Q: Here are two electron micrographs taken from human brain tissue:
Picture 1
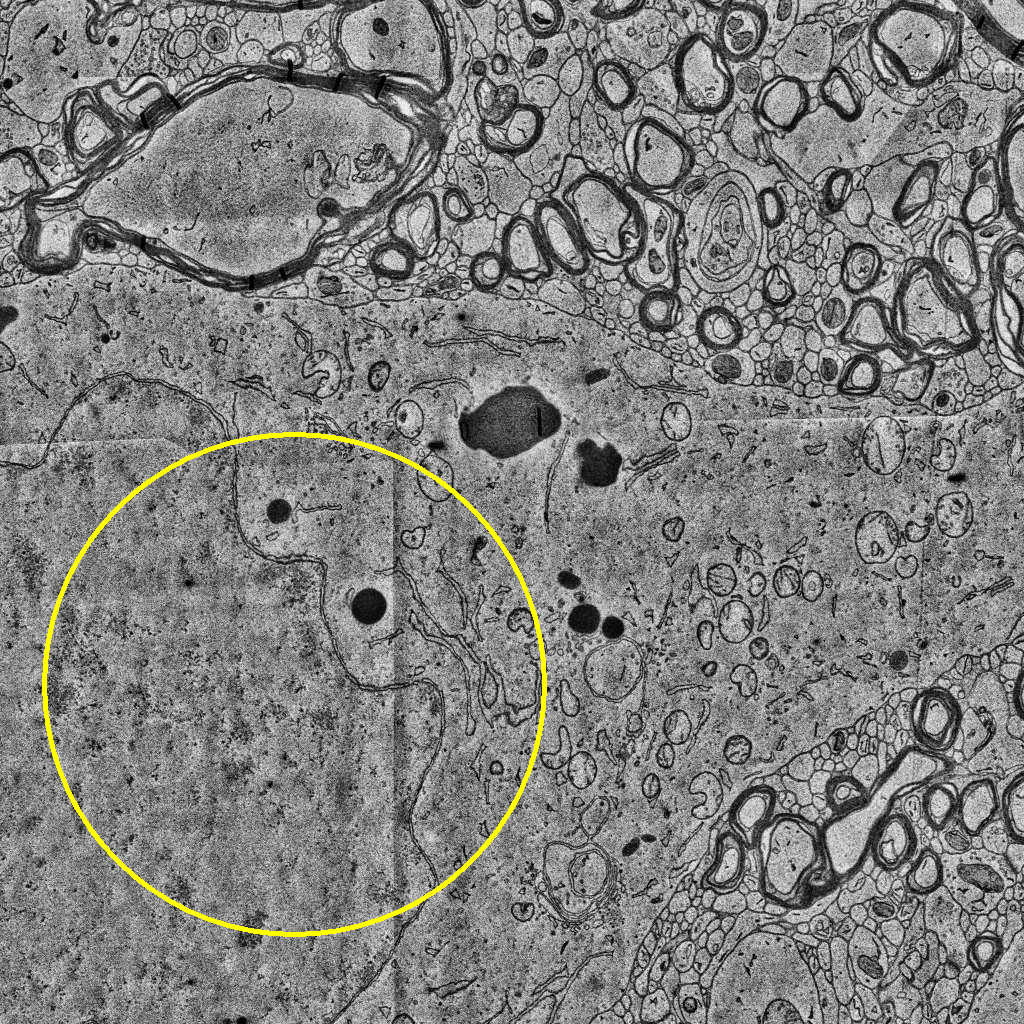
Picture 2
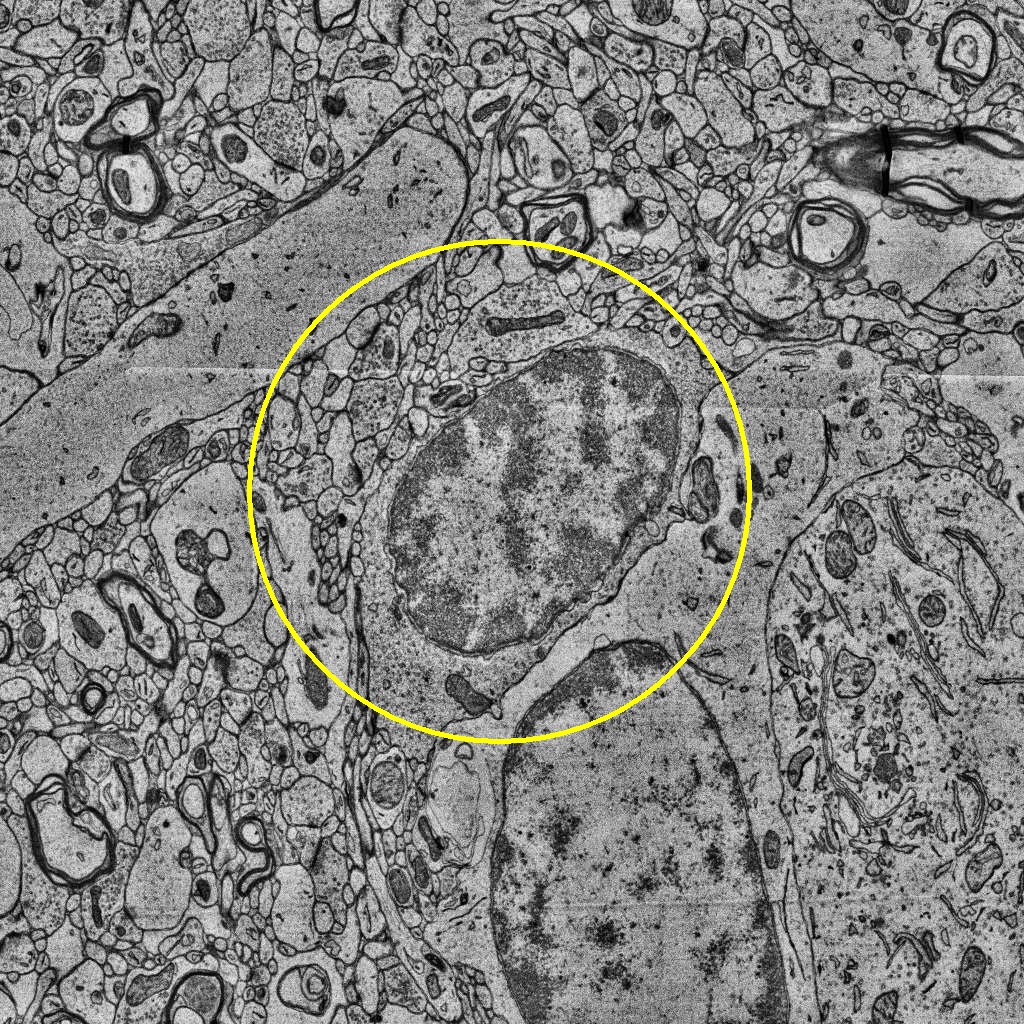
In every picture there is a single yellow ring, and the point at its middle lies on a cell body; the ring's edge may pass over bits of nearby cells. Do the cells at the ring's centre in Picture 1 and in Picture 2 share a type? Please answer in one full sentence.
No, the cells at the ring's centre in Picture 1 and Picture 2 are of two types.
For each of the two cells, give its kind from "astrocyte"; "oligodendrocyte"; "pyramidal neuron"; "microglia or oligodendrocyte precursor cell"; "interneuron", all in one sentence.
The second cell is an oligodendrocyte, and the first cell is a pyramidal neuron.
